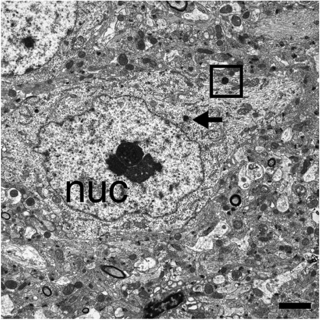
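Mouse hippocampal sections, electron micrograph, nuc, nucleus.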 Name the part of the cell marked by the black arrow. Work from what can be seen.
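The arrow points to a small, round, electron-dense body in the cytoplasm. The body is darker than the surrounding organelles.
Answer: lysosomes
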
